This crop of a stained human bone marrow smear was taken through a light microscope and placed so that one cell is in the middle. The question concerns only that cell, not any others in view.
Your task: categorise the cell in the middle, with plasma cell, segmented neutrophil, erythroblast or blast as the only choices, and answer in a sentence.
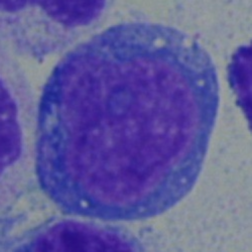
Where the crop is centred, there is a blast.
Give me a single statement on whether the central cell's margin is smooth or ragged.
No surface projections are present; the cell outline is smooth.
